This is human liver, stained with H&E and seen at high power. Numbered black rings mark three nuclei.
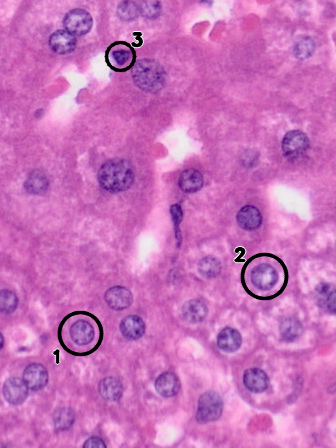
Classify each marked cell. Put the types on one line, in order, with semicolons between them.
hepatocyte; hepatocyte; fibroblast or stellate cell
